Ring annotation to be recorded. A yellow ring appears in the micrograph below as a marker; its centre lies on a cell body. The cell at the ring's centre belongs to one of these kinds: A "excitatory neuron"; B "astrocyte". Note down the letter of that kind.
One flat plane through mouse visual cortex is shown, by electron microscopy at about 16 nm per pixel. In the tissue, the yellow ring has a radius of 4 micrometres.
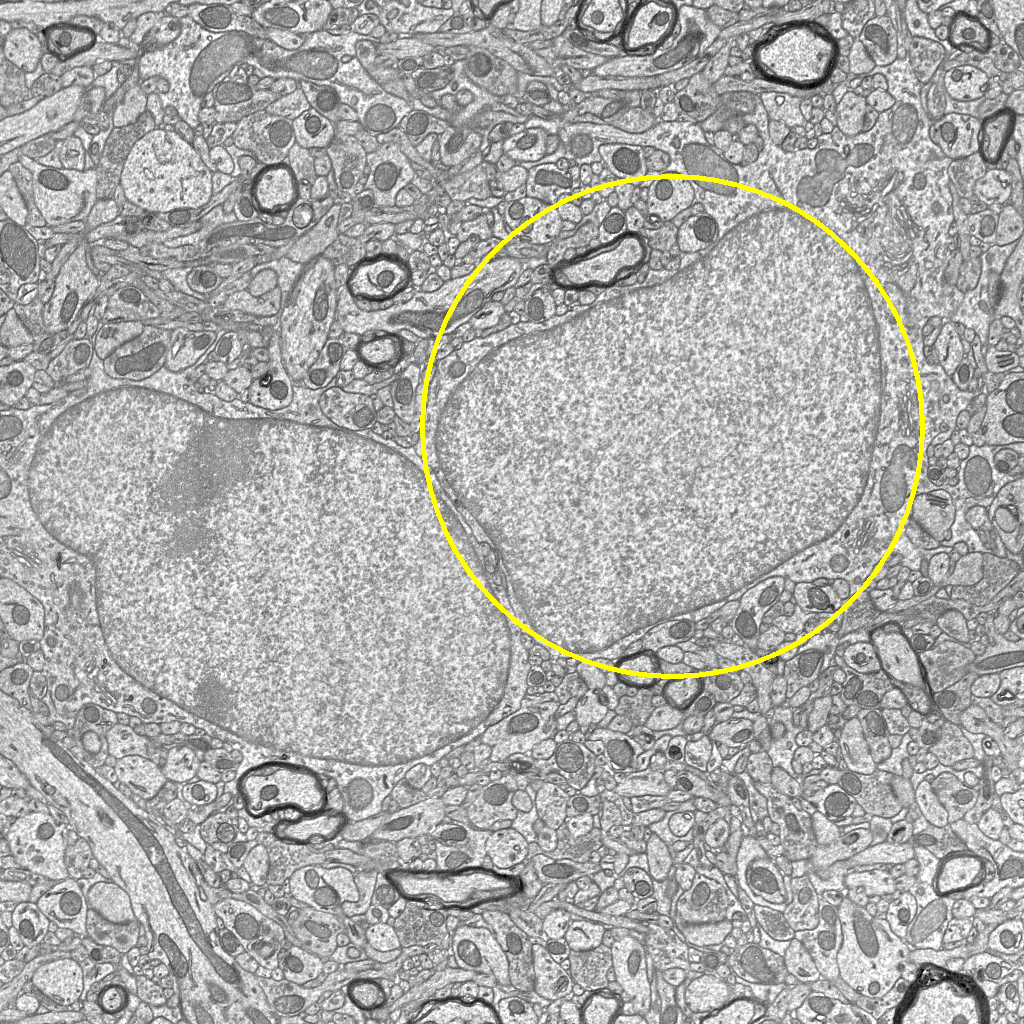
B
